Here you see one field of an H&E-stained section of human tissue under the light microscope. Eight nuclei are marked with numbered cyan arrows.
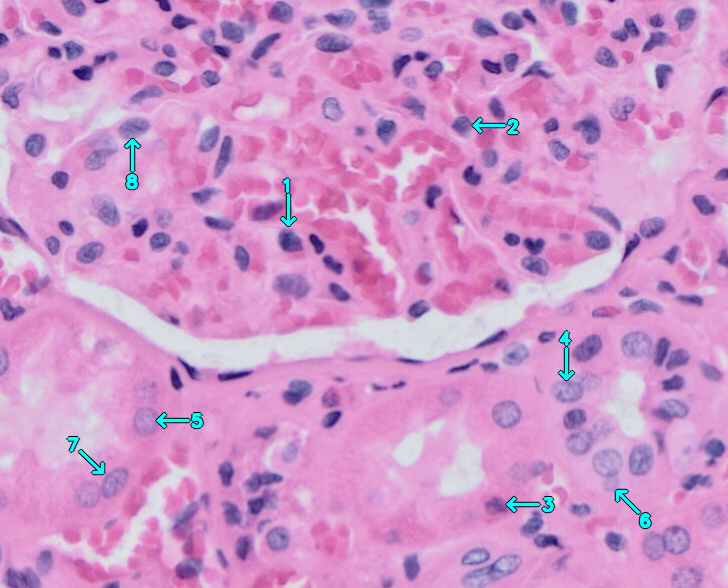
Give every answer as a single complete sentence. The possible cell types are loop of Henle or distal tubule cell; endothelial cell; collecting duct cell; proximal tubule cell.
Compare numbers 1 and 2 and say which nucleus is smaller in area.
Nucleus 2 covers less area, with nucleus 1 about 1.5 times as large.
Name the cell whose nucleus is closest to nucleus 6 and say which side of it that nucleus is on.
It is a collecting duct cell, whose nucleus lies above nucleus 6.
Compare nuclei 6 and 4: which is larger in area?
At about 2 times the area of nucleus 6, nucleus 4 is the larger of the two.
